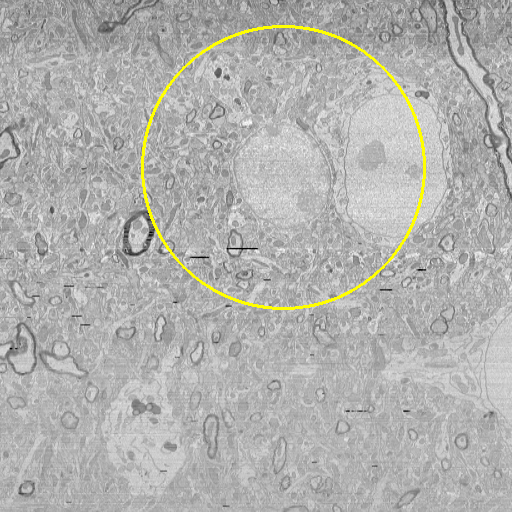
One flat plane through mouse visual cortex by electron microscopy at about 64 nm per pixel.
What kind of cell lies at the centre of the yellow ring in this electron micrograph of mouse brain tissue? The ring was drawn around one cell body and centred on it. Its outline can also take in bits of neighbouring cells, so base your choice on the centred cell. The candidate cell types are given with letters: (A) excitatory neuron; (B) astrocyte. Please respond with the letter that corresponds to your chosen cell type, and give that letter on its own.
B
